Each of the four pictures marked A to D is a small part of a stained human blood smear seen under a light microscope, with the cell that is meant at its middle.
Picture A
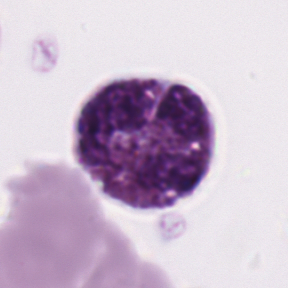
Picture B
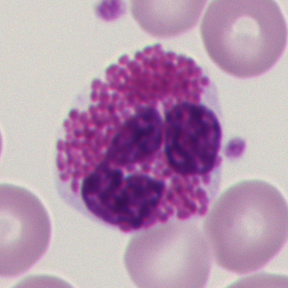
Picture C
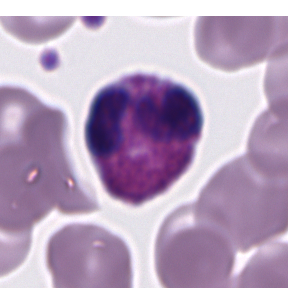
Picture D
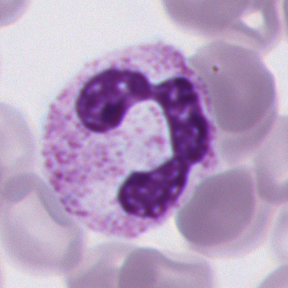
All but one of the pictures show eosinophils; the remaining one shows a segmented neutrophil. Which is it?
D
